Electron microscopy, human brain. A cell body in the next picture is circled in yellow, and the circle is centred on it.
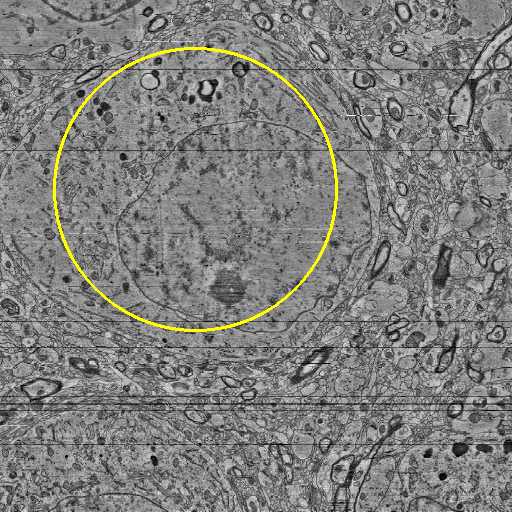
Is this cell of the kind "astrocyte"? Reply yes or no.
no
